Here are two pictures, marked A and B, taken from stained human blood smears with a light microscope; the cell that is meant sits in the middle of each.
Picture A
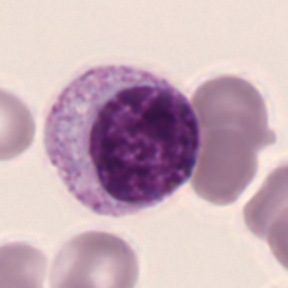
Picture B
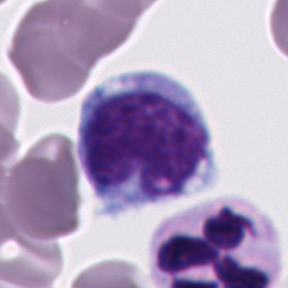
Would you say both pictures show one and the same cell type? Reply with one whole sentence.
No, picture A shows a myelocyte and picture B shows a monocyte.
